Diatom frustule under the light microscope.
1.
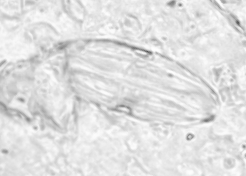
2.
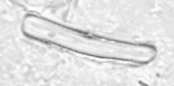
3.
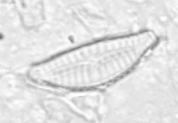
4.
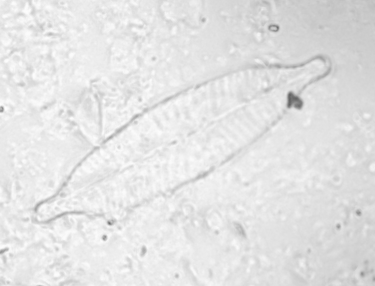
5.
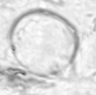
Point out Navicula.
That is picture 4.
